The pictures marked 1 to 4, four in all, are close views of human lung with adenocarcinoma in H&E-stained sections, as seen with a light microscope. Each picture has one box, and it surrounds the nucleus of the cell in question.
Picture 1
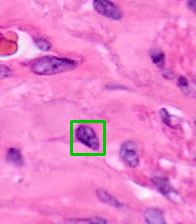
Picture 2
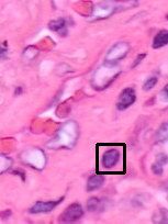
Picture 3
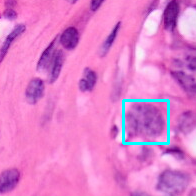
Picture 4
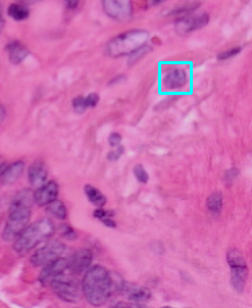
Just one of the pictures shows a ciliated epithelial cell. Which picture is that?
3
